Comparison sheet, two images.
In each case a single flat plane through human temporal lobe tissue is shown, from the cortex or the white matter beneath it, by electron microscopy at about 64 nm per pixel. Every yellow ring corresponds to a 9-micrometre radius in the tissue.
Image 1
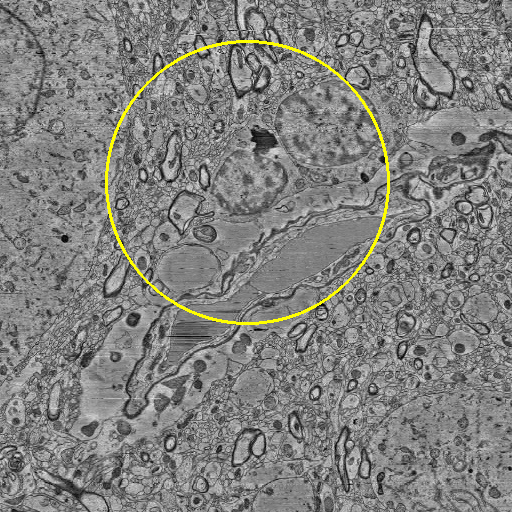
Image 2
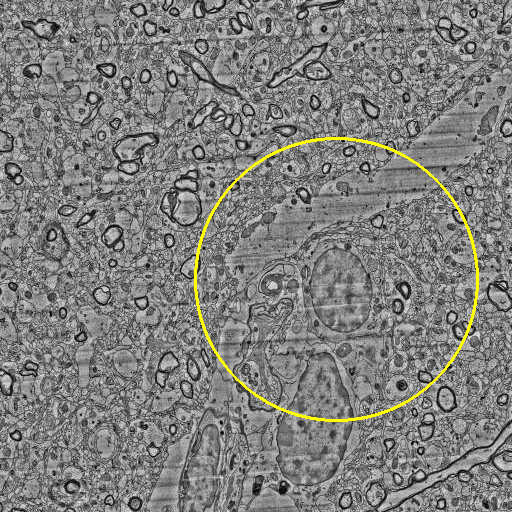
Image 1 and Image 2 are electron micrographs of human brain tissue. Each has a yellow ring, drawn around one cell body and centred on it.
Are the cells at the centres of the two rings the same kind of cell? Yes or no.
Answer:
yes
